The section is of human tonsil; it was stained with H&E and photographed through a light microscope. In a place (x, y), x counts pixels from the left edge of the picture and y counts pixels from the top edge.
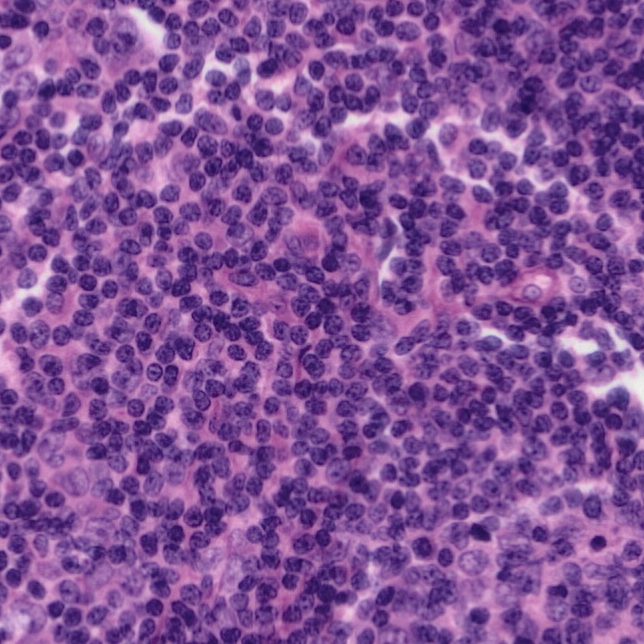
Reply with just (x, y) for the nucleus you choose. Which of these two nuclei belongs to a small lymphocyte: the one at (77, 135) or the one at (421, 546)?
(77, 135)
